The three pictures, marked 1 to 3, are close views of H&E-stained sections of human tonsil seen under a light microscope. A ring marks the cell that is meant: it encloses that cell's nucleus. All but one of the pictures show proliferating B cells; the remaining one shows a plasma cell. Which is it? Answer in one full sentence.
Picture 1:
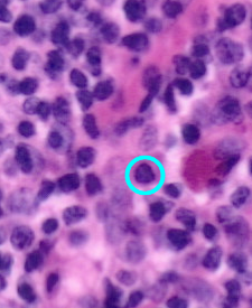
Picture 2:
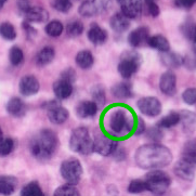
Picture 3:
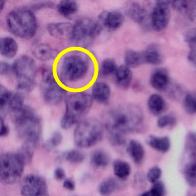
Picture 1 shows the plasma cell.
